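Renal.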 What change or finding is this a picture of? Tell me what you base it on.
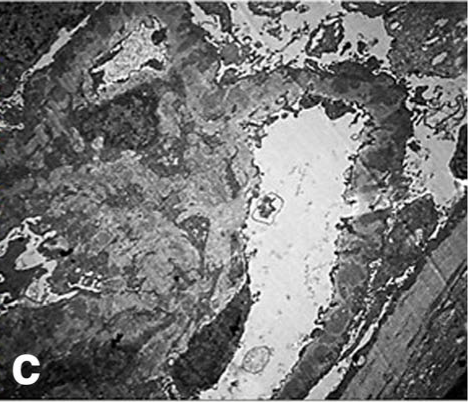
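Large dark, dense granular areas lie along and within the capillary wall. A pale capillary lumen is bordered by these dark masses. The answer: electron-dense deposits.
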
